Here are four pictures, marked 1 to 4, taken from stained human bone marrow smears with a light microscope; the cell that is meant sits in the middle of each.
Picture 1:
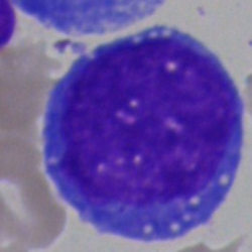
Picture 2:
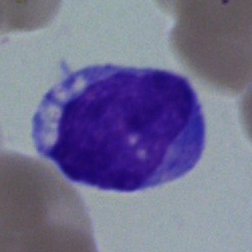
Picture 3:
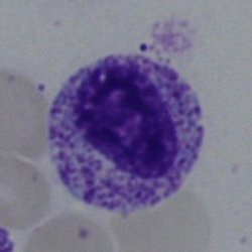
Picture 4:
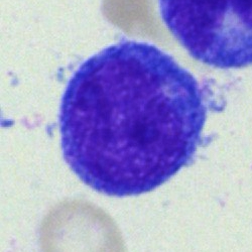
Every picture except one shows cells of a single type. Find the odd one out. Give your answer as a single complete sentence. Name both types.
Unlike the rest, which show blasts, picture 3 shows a myelocyte.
